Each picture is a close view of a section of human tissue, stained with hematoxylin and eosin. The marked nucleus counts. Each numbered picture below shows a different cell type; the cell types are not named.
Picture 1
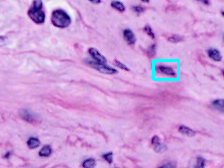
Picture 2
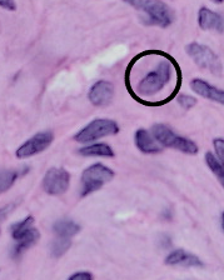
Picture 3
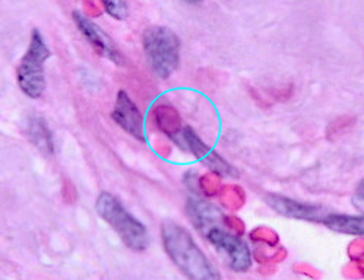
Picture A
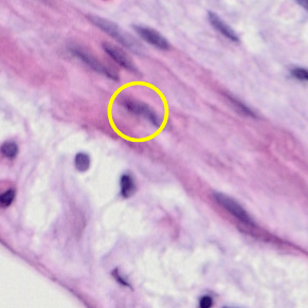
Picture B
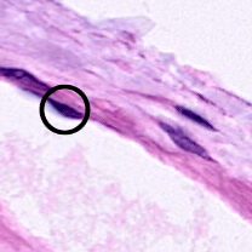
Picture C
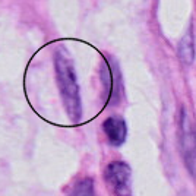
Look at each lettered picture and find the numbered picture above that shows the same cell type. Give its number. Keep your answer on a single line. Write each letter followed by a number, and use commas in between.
A 1, B 3, C 2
